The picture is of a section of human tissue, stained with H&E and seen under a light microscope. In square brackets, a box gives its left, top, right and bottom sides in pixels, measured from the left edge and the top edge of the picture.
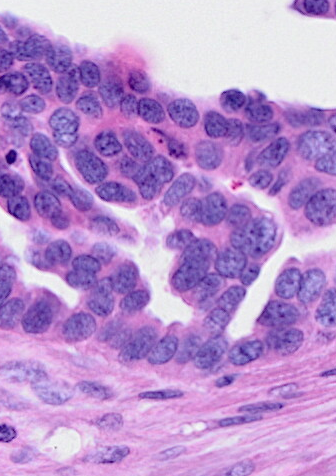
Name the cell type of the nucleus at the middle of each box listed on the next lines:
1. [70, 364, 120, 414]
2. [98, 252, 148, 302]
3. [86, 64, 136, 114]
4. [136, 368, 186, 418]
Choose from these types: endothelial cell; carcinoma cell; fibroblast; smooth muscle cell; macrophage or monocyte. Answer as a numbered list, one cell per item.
1. fibroblast
2. carcinoma cell
3. carcinoma cell
4. fibroblast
